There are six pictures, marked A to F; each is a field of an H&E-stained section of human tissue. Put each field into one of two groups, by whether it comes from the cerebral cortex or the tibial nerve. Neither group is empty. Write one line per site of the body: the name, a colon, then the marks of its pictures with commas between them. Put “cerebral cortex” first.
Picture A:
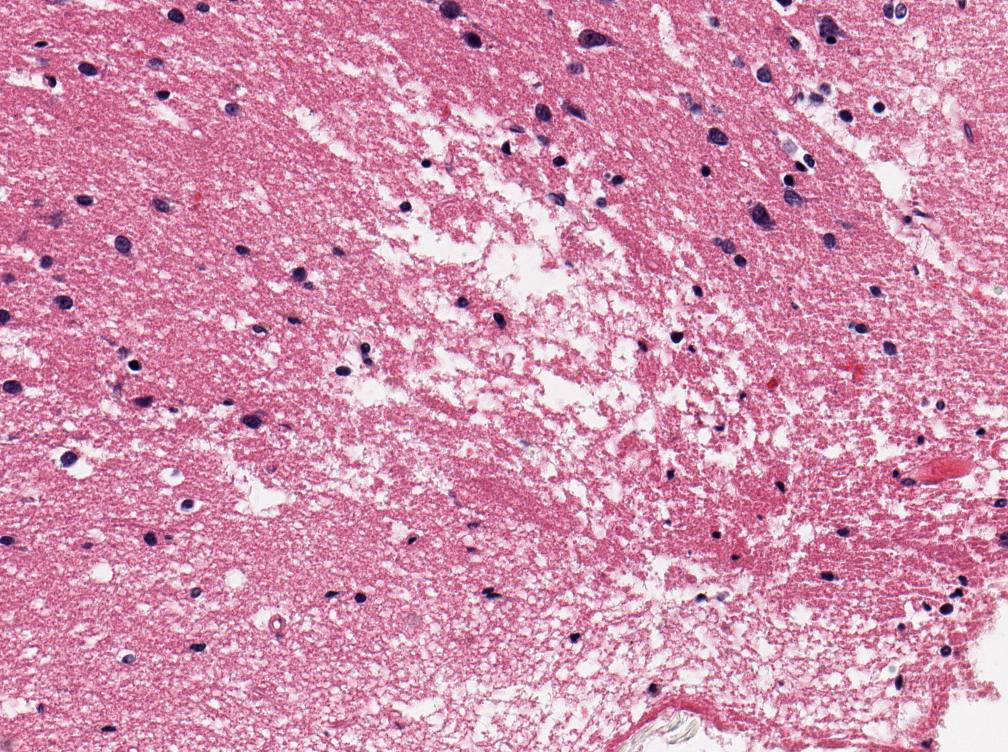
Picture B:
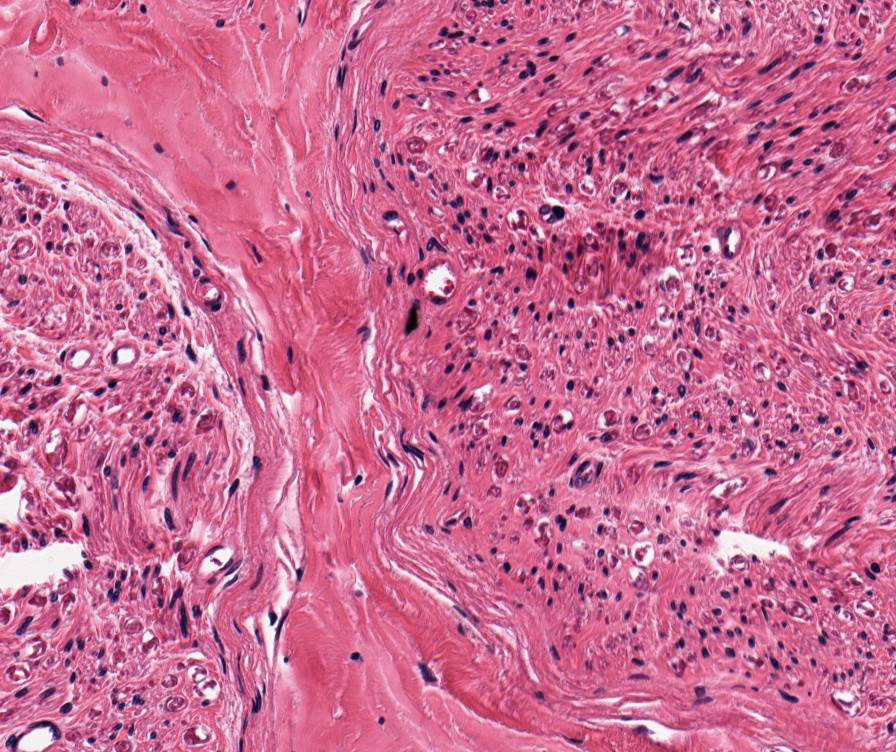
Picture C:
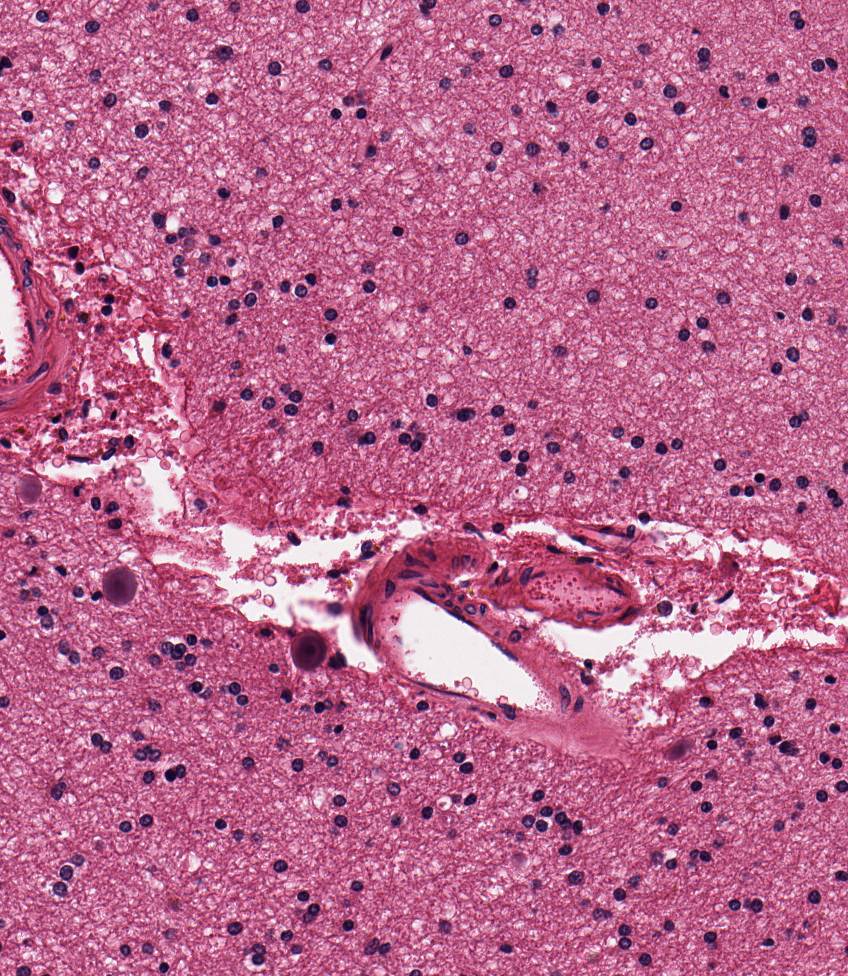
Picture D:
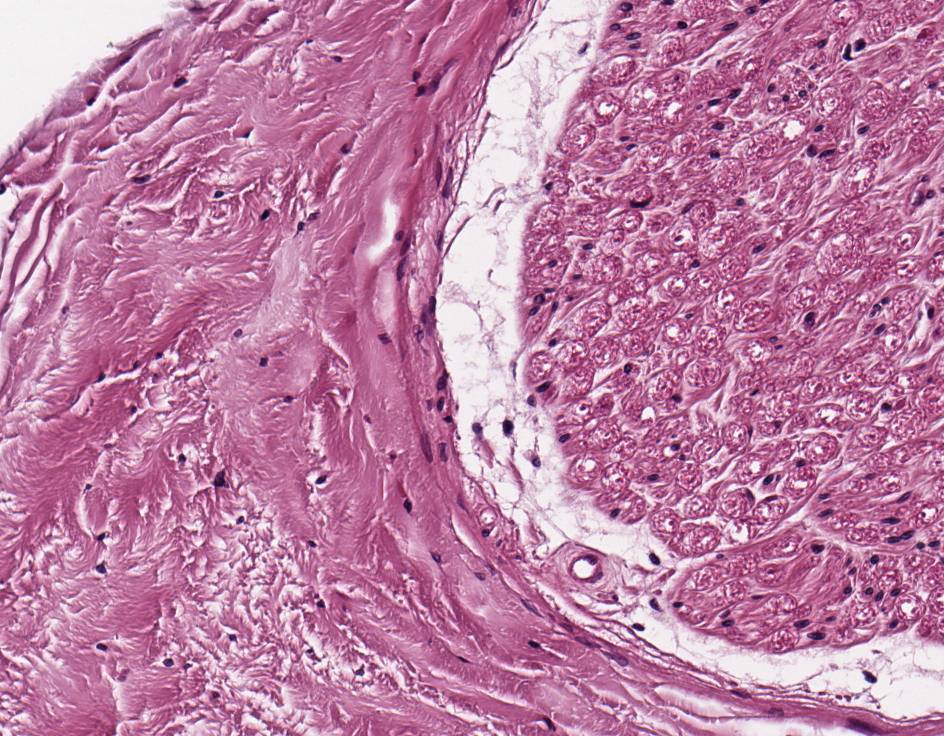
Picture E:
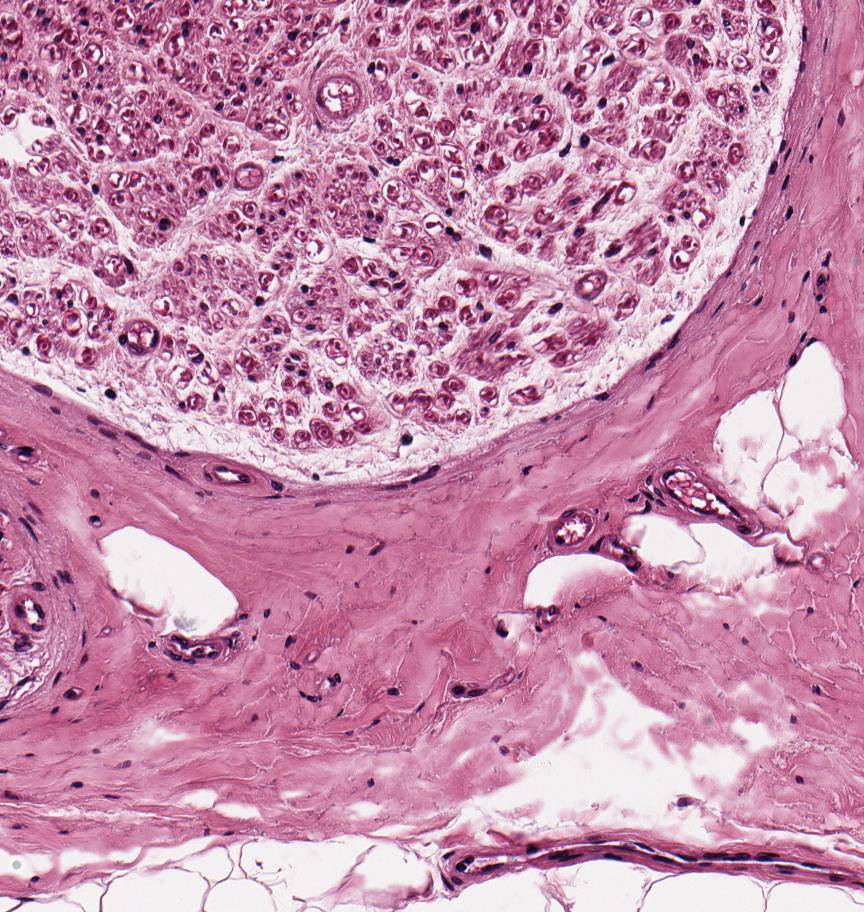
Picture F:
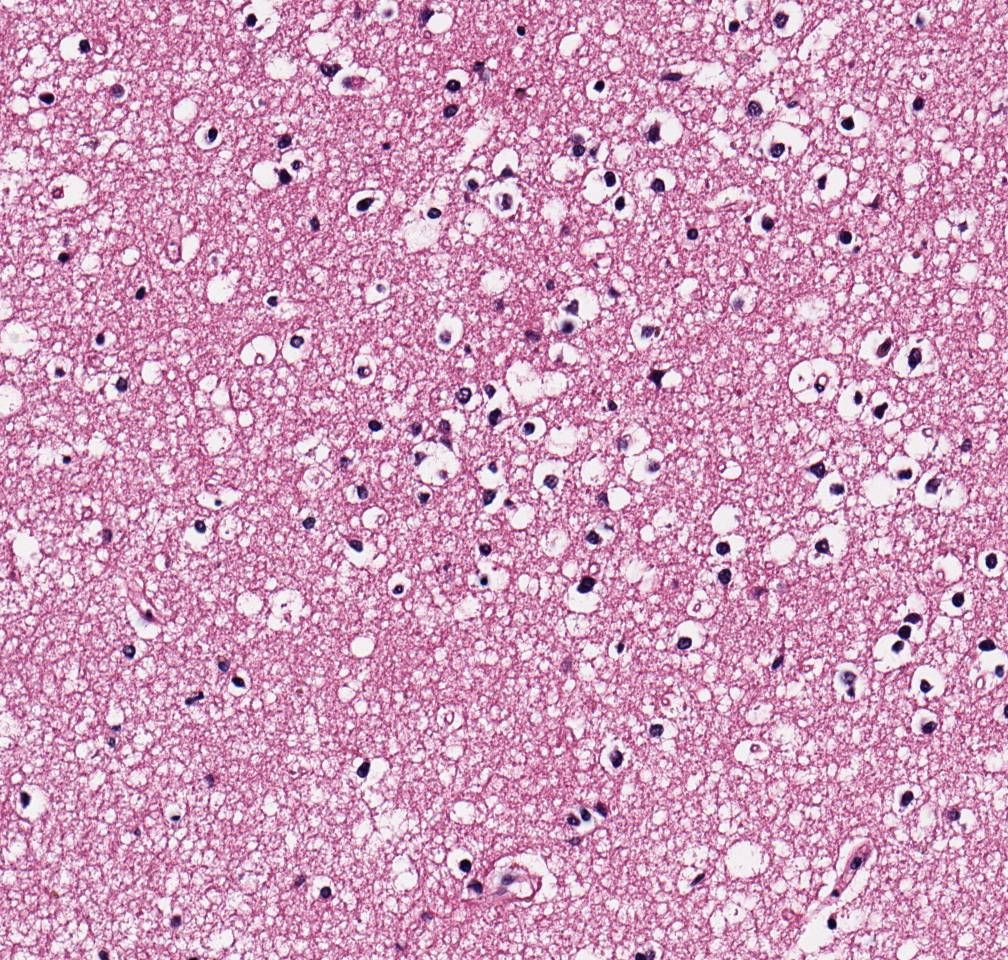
cerebral cortex: A, C, F
tibial nerve: B, D, E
